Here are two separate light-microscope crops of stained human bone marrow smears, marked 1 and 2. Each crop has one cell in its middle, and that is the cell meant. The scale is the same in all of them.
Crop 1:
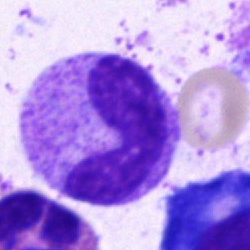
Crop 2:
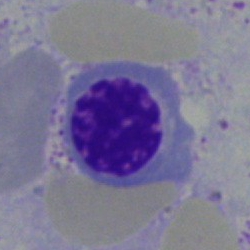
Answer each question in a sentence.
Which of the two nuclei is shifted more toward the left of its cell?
The nucleus in crop 2 lies further toward the left of its cell.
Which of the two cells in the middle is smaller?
Smaller is the cell in crop 2, and the other is about 1.5 times as large in area.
